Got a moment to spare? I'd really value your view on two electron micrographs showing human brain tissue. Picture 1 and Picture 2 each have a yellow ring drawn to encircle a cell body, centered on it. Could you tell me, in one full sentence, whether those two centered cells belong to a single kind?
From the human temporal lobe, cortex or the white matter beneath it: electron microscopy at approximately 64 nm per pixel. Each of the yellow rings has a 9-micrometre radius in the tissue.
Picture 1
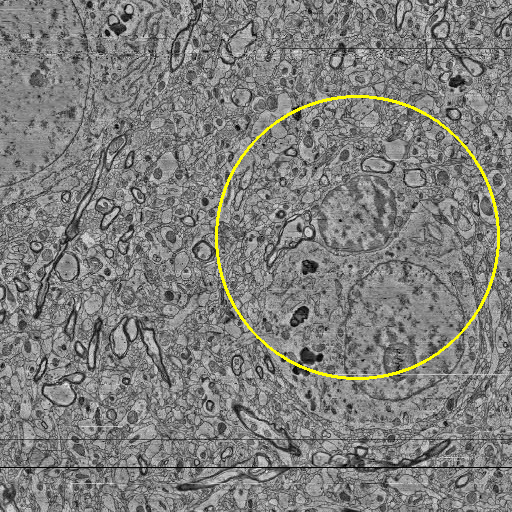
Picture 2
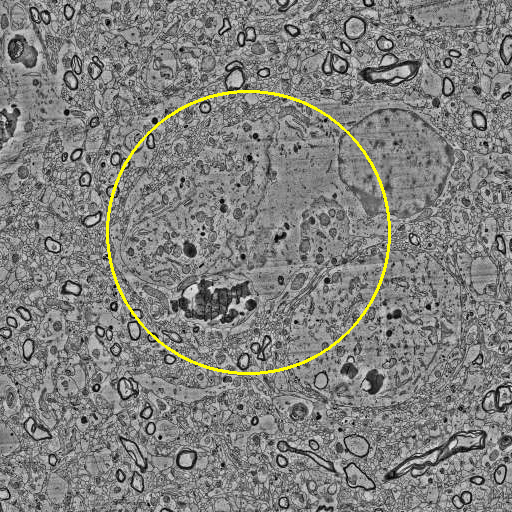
Yes, the two centered cells in Picture 1 and Picture 2 are of a single kind.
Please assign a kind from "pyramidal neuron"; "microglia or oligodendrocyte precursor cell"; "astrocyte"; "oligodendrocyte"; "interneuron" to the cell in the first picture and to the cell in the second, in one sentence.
The second cell is an oligodendrocyte, just as the first is.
